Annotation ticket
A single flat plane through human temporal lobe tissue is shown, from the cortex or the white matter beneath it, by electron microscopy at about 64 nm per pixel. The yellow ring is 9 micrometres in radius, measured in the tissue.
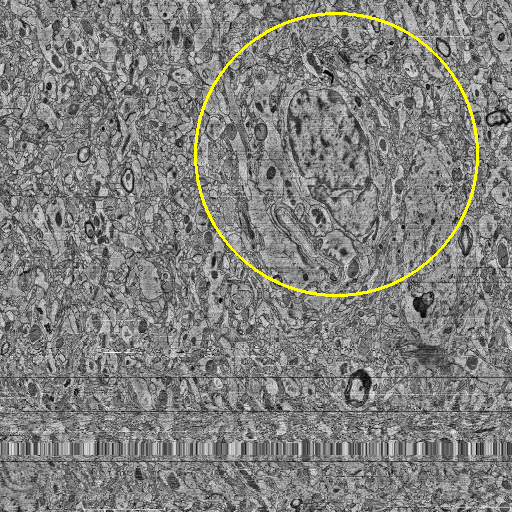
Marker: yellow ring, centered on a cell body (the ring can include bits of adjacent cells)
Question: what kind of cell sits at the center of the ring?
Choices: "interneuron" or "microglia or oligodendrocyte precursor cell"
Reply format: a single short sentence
The ring is centered on a microglial cell or oligodendrocyte precursor cell.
